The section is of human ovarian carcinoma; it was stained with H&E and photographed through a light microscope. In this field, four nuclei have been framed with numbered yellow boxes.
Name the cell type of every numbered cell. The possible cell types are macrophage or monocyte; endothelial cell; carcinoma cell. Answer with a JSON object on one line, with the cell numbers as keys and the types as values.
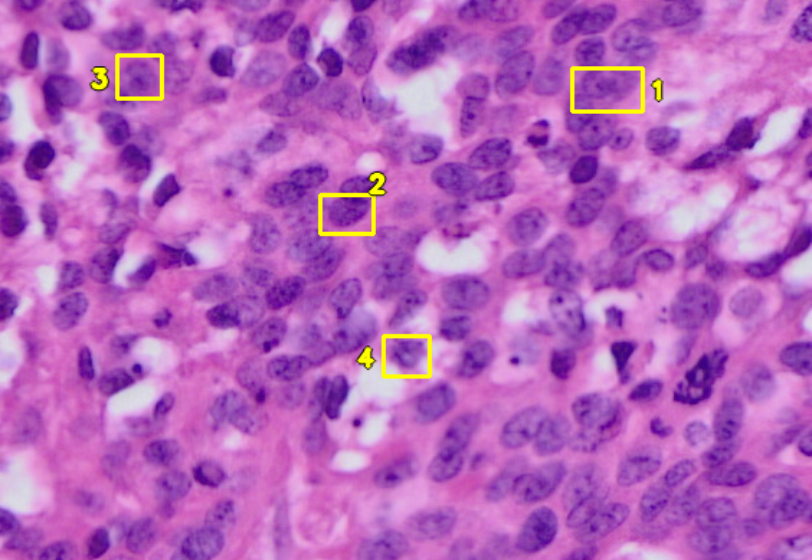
{"1": "carcinoma cell", "2": "carcinoma cell", "3": "carcinoma cell", "4": "macrophage or monocyte"}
